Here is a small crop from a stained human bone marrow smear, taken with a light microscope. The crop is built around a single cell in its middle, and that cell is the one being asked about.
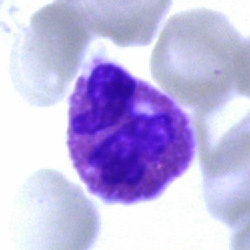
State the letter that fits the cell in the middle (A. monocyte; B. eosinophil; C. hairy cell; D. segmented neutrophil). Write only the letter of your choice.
B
